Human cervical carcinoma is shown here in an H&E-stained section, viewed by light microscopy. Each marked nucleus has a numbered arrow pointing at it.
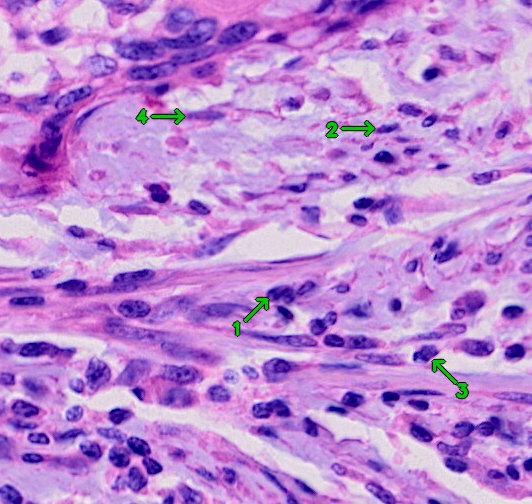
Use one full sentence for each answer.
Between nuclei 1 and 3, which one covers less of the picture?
The smaller nucleus is 1, and 3 covers roughly 1.5 times its area.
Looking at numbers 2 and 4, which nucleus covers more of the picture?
Of the two, number 4 is bigger and takes up about 1.5 times the area of number 2.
